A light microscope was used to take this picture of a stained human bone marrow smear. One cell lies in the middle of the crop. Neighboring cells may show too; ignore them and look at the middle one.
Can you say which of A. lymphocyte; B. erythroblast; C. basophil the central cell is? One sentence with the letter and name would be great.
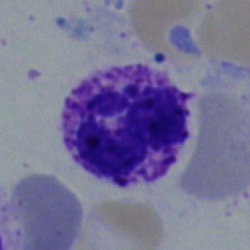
This one is option C, since the cell at the center is a basophil.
